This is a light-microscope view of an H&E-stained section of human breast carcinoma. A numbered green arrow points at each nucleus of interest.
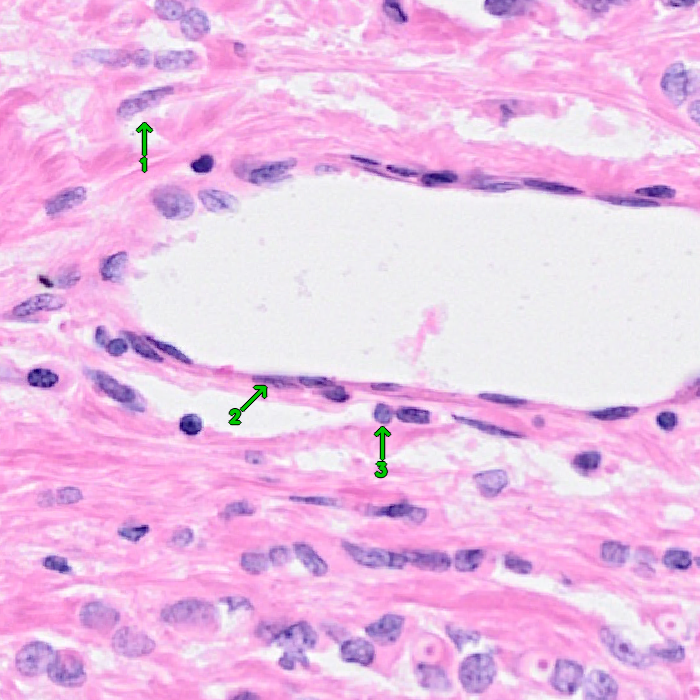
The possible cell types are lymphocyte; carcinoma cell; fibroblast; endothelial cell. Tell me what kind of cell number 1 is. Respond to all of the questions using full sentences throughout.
Cell 1, among those numbered, is a fibroblast.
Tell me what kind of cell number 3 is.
The cell carrying label 3 is identified as a lymphocyte.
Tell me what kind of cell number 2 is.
Marked with the number 2, this cell is an endothelial cell.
